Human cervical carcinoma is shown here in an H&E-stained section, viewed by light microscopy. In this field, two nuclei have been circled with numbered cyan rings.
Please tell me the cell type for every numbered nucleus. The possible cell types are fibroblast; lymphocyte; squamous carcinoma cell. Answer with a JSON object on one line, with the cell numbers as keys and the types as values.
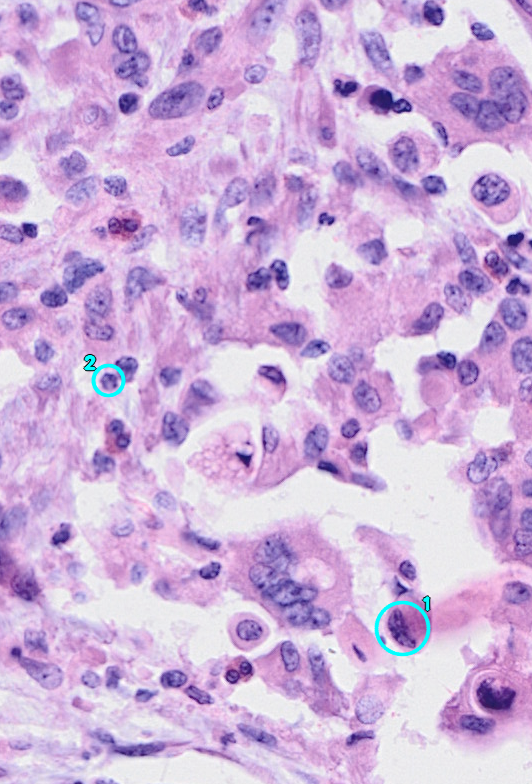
{"1": "squamous carcinoma cell", "2": "lymphocyte"}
